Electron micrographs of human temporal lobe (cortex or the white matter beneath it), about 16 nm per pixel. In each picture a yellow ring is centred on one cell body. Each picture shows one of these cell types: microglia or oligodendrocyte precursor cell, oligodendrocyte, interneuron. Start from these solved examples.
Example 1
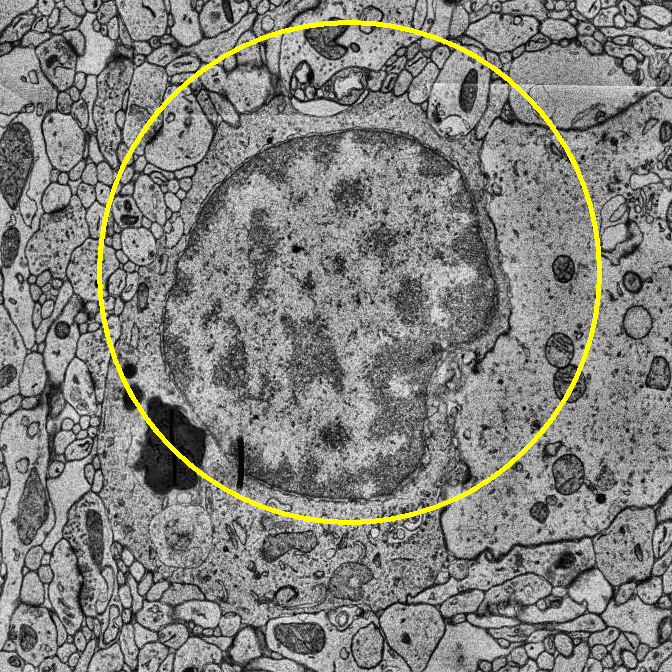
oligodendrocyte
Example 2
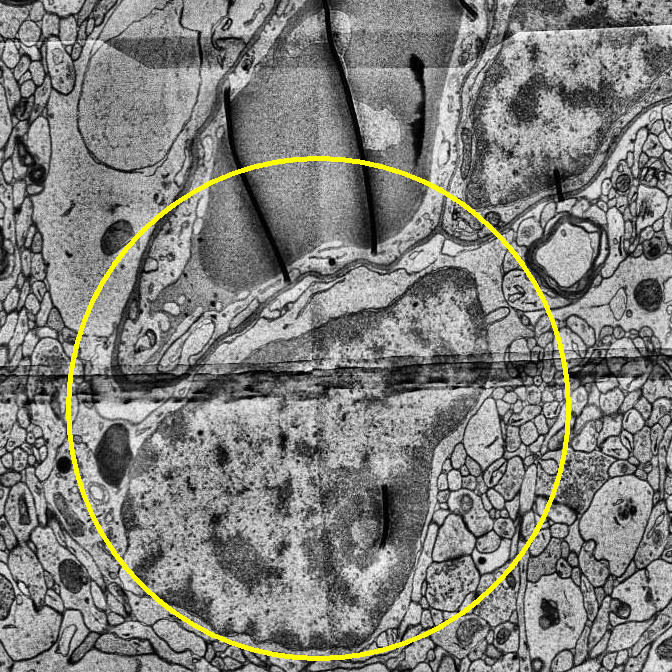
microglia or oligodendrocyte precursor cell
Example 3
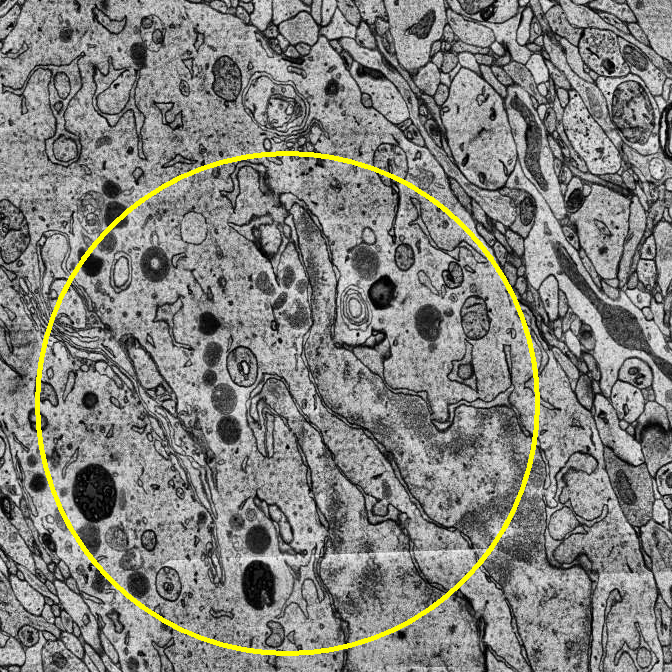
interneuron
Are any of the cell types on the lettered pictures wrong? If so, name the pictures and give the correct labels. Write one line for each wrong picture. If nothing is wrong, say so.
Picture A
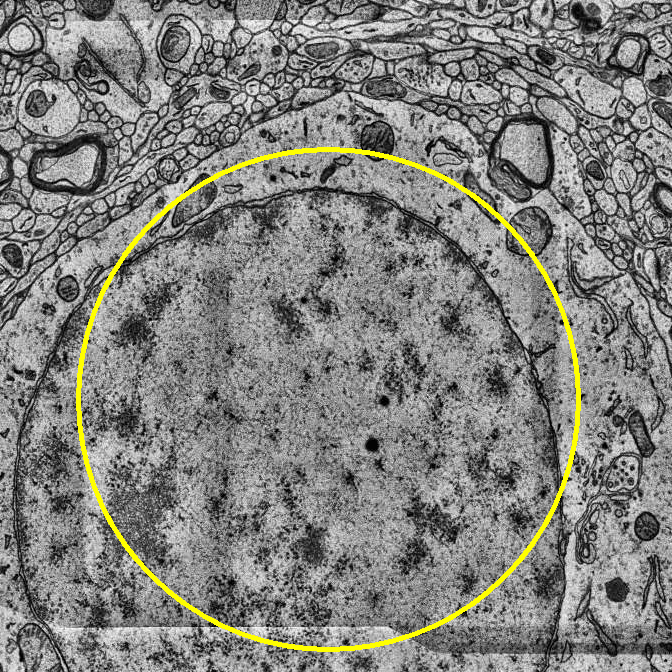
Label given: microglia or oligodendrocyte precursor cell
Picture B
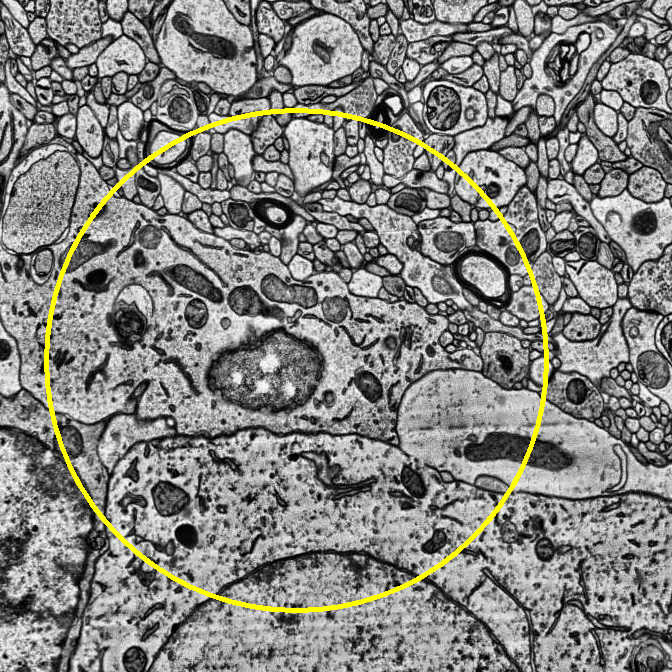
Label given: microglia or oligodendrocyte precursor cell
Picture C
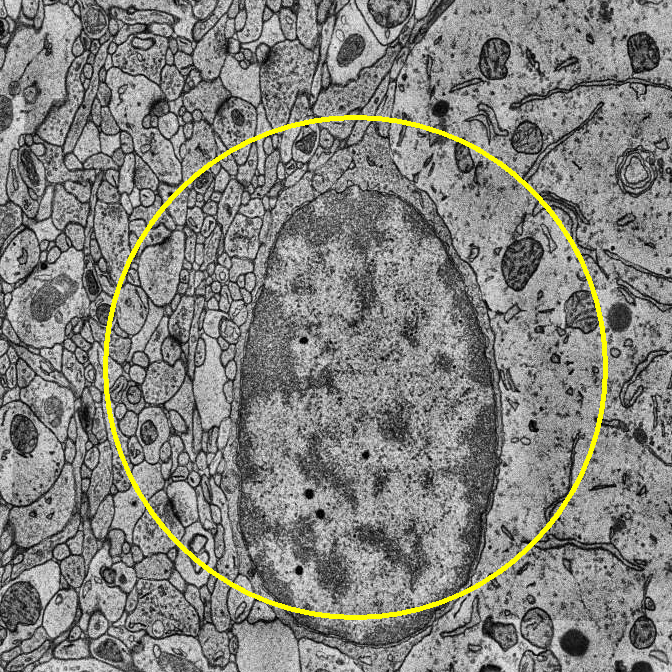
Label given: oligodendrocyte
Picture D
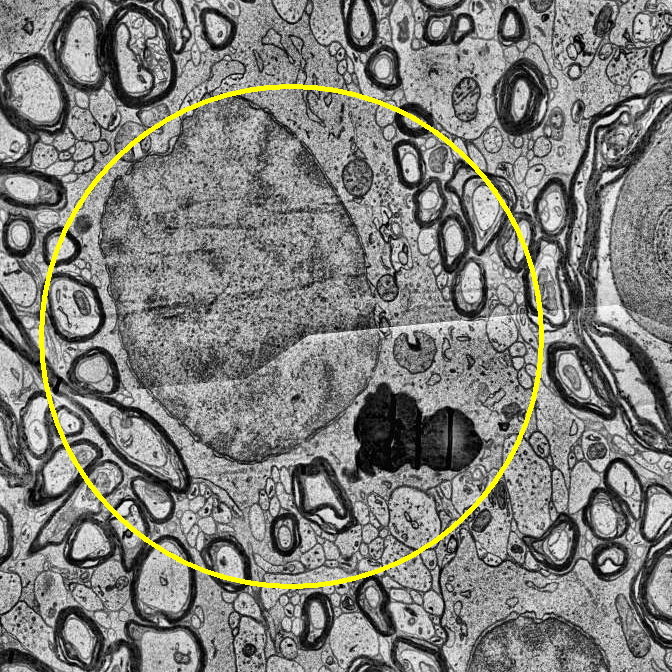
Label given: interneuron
A is labelled microglia or oligodendrocyte precursor cell; correct label: interneuron
D is labelled interneuron; correct label: oligodendrocyte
